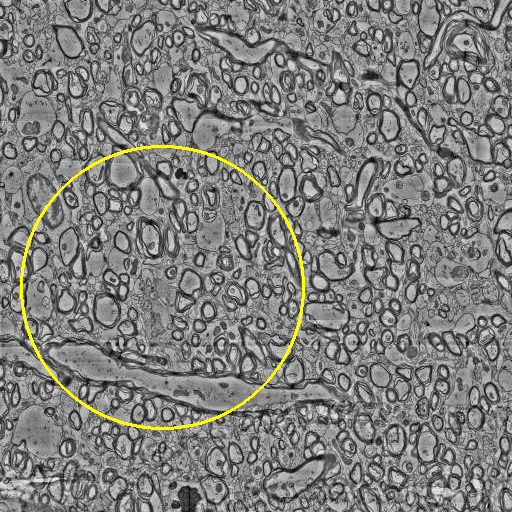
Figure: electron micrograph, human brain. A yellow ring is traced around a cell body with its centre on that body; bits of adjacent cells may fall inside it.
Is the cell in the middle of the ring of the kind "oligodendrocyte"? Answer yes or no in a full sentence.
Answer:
Yes, that kind applies to the cell centred within the yellow ring of the picture.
